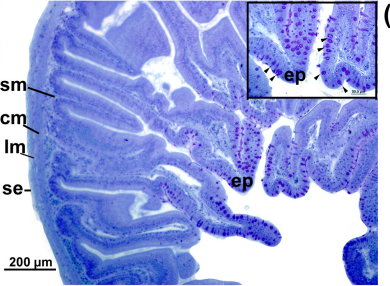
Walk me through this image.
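Section of intestinal wall with tall, slender mucosal folds lined by a columnar epithelium containing many rounded, dark purple goblet cells, most abundant toward the fold tips. Beneath the folds lie a thin submucosa, a circular and a longitudinal muscle layer and an outer serosa. An inset enlarges the fold epithelium with its goblet cells.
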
